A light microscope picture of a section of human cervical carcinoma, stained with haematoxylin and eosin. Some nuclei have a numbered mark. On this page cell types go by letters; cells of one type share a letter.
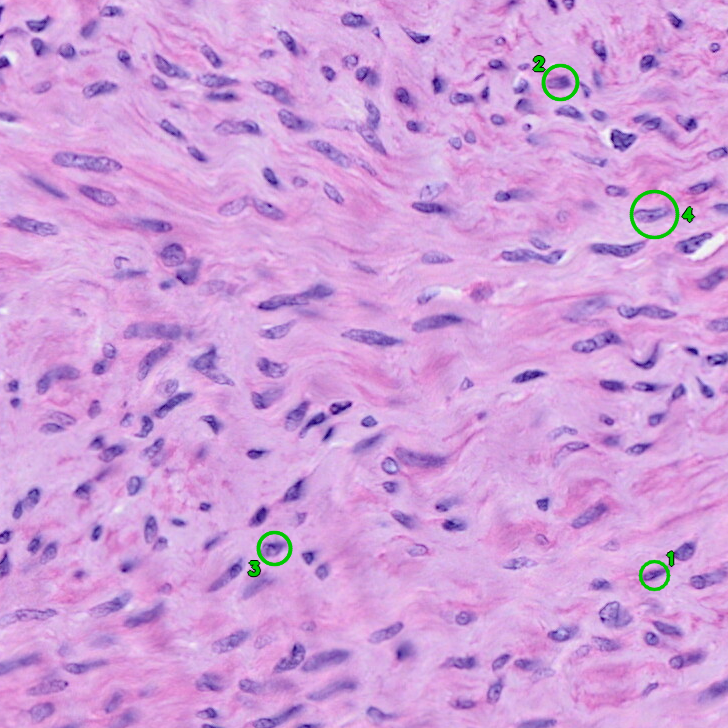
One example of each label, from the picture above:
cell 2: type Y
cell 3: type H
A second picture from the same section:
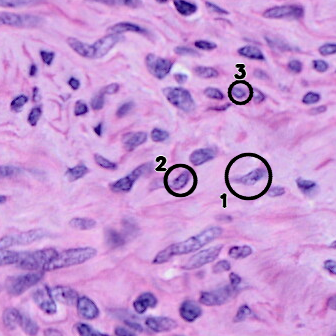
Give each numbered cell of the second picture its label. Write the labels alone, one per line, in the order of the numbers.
type H
type Y
type Y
